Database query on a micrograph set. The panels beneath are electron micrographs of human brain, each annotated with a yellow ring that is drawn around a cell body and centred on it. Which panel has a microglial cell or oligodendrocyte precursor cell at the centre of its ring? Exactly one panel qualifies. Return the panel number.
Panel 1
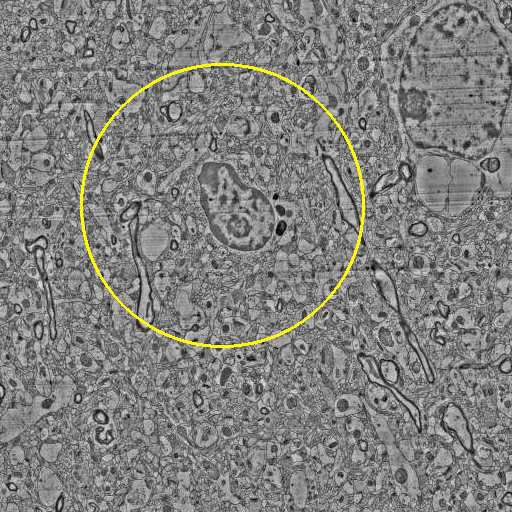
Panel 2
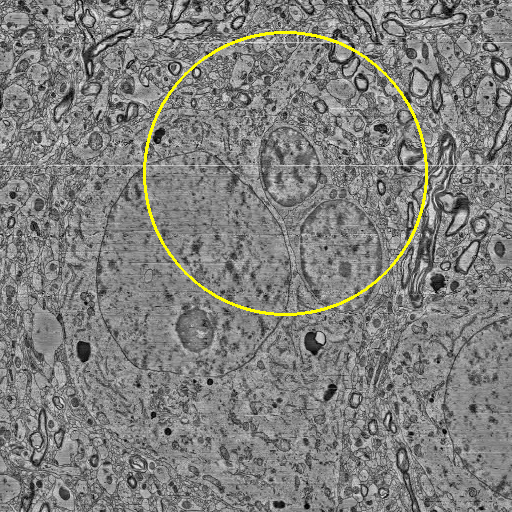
1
